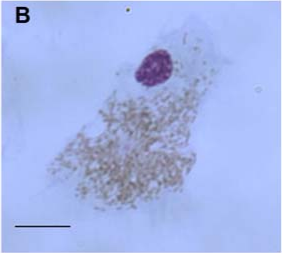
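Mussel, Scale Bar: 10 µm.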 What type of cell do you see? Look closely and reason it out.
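The cytoplasm is spread flat with an irregular outline. The cytoplasm holds many small brown granules. That points to this answer: hemocytes.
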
